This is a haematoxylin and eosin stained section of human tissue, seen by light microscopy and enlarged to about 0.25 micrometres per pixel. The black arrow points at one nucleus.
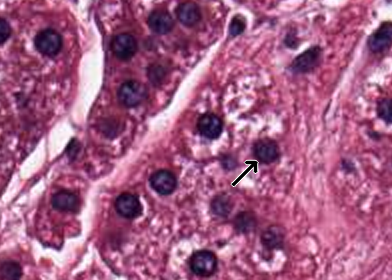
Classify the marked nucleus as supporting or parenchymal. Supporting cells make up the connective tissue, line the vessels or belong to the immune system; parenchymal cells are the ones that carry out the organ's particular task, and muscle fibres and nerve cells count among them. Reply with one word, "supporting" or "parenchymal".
parenchymal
